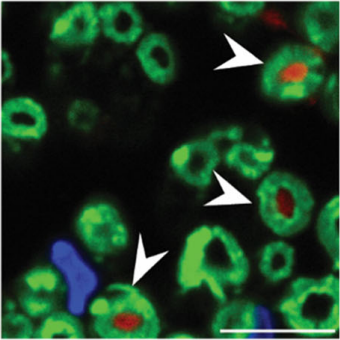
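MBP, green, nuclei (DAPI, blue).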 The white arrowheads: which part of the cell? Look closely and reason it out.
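Axons. Each arrowhead points to a red dot lying in the centre of a green ring.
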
